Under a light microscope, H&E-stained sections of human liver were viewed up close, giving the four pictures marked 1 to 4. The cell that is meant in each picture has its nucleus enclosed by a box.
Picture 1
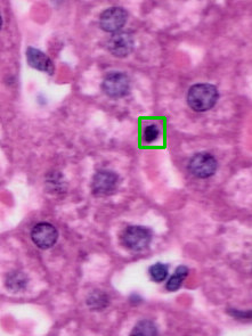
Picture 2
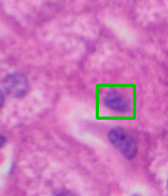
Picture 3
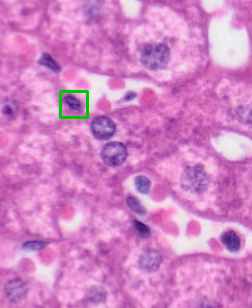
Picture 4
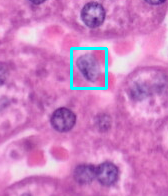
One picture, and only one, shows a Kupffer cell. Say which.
3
